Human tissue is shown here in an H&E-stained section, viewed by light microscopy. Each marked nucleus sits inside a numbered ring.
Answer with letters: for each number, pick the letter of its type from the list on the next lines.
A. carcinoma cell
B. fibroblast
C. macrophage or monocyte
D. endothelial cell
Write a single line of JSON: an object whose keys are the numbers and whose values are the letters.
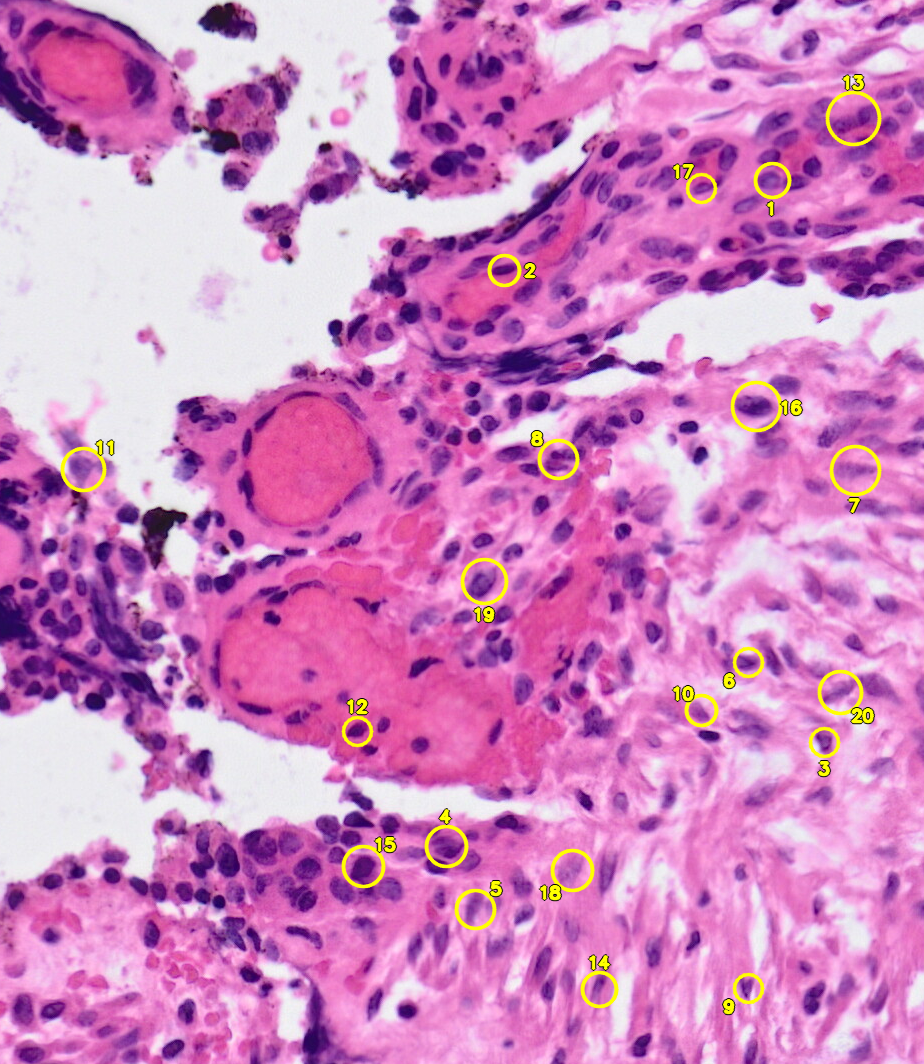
{"1": "D", "2": "D", "3": "B", "4": "A", "5": "B", "6": "B", "7": "B", "8": "C", "9": "B", "10": "B", "11": "A", "12": "D", "13": "D", "14": "B", "15": "A", "16": "B", "17": "D", "18": "B", "19": "B", "20": "B"}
